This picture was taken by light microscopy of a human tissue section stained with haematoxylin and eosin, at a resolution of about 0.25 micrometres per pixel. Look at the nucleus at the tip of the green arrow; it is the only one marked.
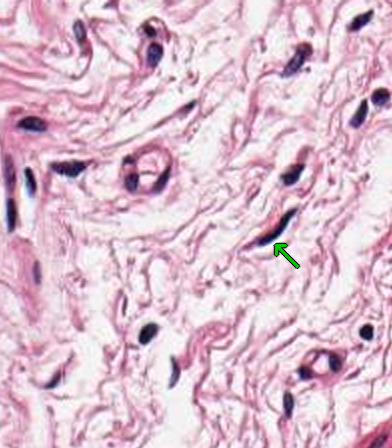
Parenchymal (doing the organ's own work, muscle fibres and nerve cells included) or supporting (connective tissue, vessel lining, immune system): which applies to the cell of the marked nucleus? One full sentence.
The indicated nucleus in this section belongs to a supporting cell.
